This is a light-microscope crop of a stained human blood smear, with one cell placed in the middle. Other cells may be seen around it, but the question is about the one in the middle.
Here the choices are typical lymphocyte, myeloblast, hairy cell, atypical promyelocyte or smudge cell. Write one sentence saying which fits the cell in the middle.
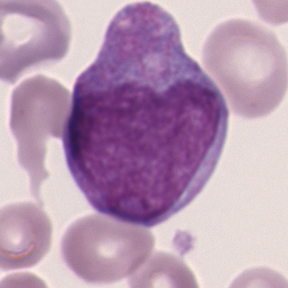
As for the cell in the middle, it is an atypical promyelocyte.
